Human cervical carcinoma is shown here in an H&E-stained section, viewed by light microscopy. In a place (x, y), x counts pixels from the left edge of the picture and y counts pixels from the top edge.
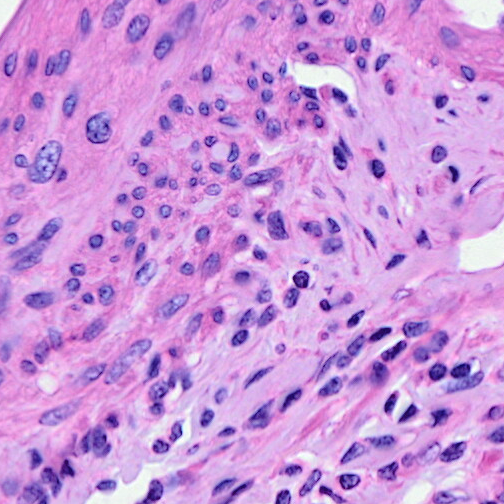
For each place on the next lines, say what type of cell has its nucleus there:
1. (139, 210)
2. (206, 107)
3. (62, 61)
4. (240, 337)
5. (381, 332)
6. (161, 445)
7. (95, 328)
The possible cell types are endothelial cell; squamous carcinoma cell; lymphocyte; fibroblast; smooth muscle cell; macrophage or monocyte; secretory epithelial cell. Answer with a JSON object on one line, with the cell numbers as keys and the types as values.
{"1": "smooth muscle cell", "2": "smooth muscle cell", "3": "smooth muscle cell", "4": "lymphocyte", "5": "lymphocyte", "6": "lymphocyte", "7": "smooth muscle cell"}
